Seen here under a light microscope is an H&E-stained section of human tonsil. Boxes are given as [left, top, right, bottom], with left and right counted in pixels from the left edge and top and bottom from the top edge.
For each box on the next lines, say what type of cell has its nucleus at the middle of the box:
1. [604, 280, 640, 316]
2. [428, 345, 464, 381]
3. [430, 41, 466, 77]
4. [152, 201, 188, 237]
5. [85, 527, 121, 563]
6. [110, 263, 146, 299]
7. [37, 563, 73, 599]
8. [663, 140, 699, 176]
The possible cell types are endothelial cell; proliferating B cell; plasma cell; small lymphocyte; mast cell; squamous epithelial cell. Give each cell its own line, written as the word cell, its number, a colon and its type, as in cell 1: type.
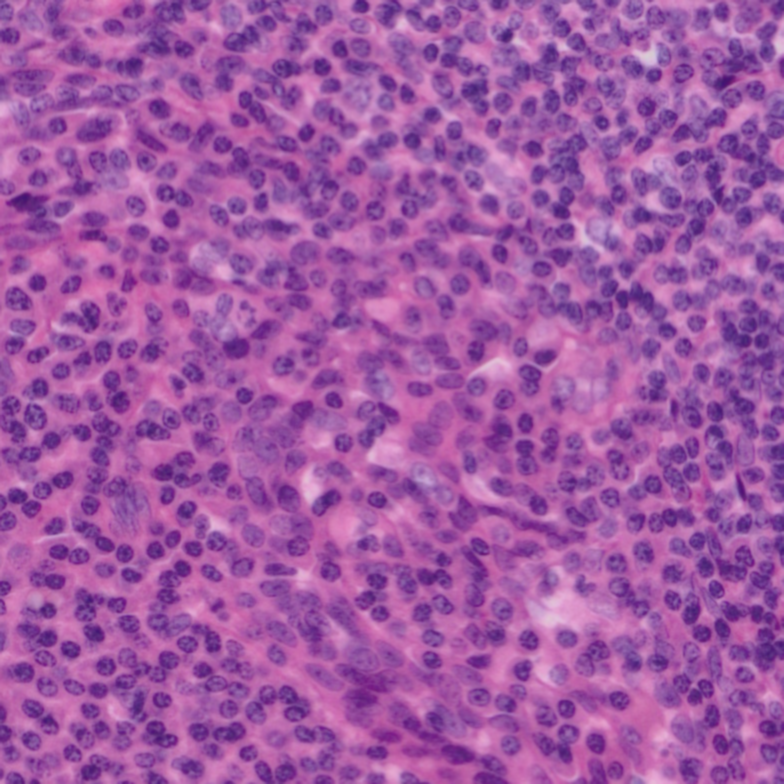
cell 1: small lymphocyte
cell 2: squamous epithelial cell
cell 3: small lymphocyte
cell 4: plasma cell
cell 5: plasma cell
cell 6: plasma cell
cell 7: plasma cell
cell 8: small lymphocyte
